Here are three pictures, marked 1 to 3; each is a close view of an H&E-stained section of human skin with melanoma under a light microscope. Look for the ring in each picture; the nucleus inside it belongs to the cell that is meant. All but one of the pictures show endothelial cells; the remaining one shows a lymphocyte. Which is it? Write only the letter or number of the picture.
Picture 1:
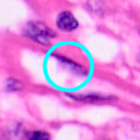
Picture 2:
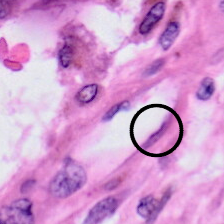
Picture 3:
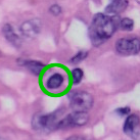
3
